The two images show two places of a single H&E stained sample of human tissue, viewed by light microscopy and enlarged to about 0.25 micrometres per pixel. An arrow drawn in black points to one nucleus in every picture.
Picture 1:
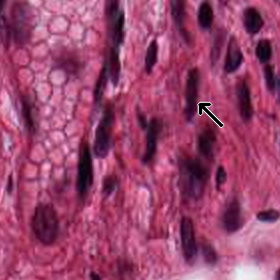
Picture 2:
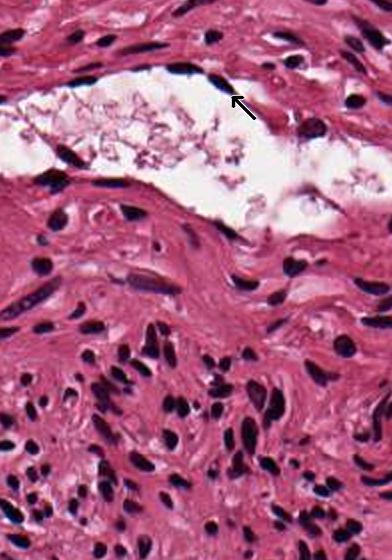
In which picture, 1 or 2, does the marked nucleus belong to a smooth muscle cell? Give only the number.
1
